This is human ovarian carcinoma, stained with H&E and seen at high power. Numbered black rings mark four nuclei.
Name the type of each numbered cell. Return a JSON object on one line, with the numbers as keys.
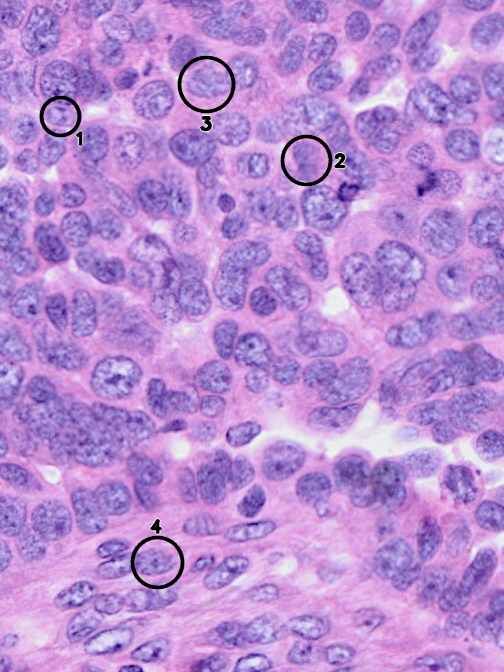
{"1": "carcinoma cell", "2": "carcinoma cell", "3": "carcinoma cell", "4": "fibroblast"}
